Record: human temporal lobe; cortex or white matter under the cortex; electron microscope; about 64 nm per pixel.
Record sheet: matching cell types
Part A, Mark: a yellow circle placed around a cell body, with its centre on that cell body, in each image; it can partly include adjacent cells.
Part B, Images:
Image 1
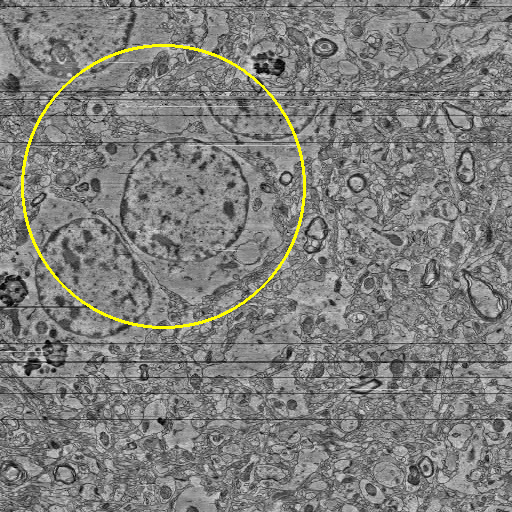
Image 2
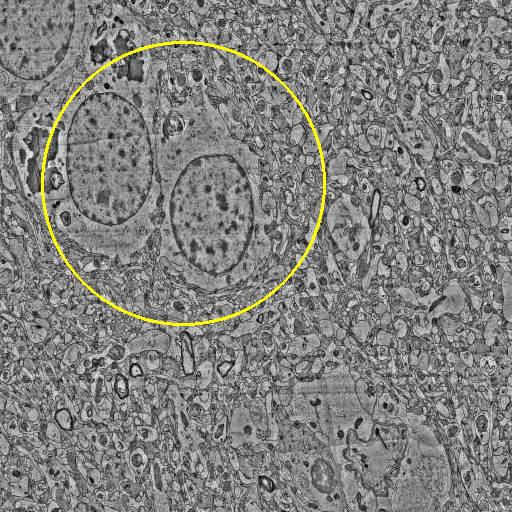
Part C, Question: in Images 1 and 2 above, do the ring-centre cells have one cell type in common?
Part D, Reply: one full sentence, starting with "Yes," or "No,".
Yes, the ring-centre cells of Image 1 and Image 2 are both of a single cell type.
